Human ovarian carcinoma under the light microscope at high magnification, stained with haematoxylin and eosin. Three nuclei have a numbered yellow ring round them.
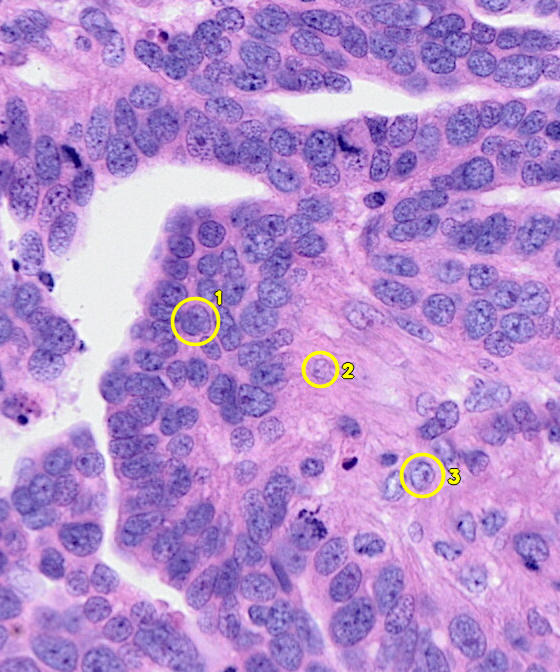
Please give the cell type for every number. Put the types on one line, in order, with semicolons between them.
carcinoma cell; fibroblast; fibroblast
